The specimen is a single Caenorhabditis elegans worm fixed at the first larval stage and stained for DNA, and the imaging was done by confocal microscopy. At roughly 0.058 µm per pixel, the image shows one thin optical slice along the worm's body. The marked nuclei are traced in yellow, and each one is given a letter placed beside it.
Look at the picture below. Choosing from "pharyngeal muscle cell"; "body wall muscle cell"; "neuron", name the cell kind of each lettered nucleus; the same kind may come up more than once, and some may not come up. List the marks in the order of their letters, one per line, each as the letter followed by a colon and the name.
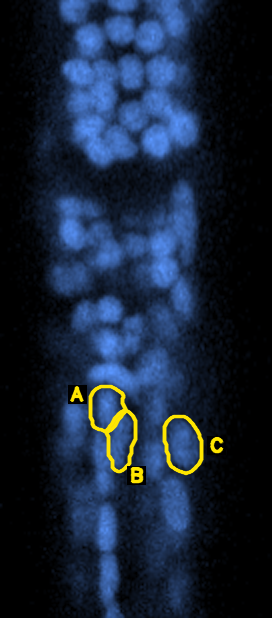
A: neuron
B: pharyngeal muscle cell
C: body wall muscle cell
